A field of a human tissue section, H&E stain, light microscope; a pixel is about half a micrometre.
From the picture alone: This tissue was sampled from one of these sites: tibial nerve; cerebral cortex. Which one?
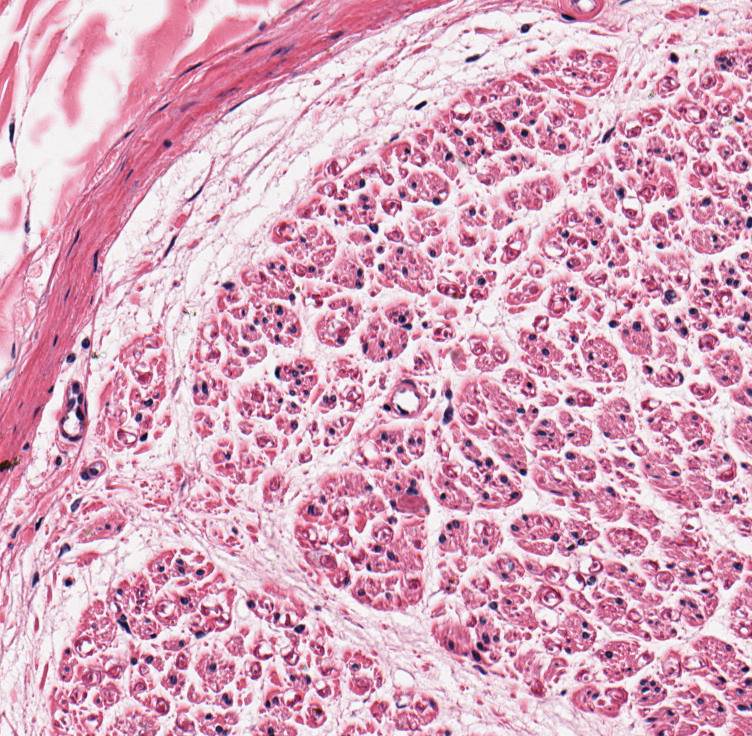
tibial nerve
